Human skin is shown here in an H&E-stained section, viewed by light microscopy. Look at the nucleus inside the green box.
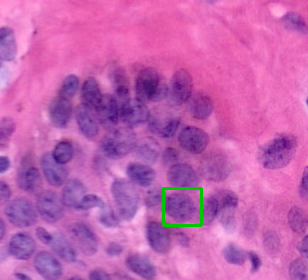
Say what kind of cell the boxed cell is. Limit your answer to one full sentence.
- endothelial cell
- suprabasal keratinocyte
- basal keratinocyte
The cell type of the boxed cell is that of a basal keratinocyte.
